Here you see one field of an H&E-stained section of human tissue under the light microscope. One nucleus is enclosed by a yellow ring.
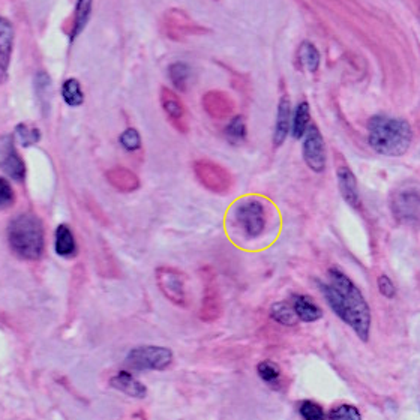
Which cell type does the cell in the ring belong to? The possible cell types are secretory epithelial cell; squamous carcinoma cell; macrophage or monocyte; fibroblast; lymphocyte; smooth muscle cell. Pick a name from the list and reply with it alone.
macrophage or monocyte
